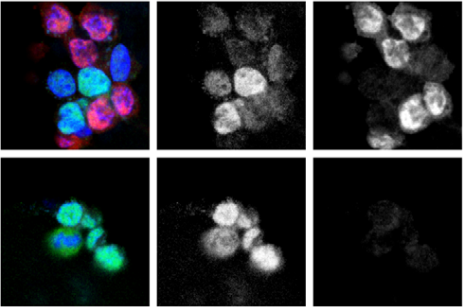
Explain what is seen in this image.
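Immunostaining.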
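In the upper row the cluster mixes nuclei stained green with nuclei stained red, the red ones bright and with a mottled texture. In the lower row nearly all nuclei are green, and red staining is barely seen.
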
